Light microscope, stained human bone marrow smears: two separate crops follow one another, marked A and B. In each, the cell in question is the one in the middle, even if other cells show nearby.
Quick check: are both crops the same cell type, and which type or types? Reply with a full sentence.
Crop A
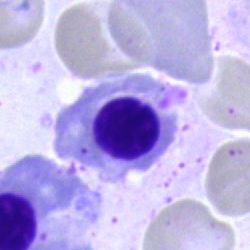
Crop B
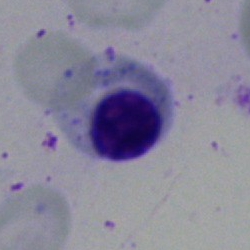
Yes, the two crops show normoblasts, one cell each.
